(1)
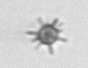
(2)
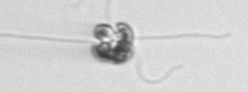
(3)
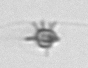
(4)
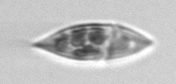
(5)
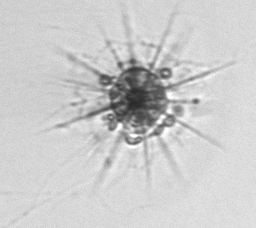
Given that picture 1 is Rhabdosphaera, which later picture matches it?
3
